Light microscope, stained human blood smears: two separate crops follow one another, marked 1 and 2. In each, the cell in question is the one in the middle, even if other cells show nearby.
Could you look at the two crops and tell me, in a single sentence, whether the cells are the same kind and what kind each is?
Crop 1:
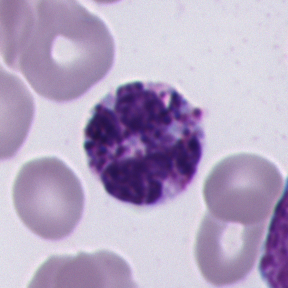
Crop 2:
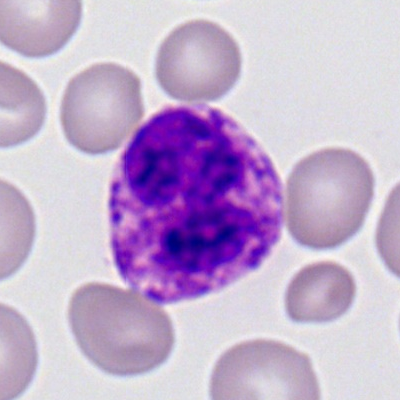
Yes, with regard to both crops, the central cells are basophils.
